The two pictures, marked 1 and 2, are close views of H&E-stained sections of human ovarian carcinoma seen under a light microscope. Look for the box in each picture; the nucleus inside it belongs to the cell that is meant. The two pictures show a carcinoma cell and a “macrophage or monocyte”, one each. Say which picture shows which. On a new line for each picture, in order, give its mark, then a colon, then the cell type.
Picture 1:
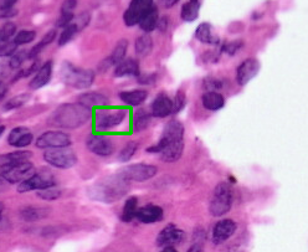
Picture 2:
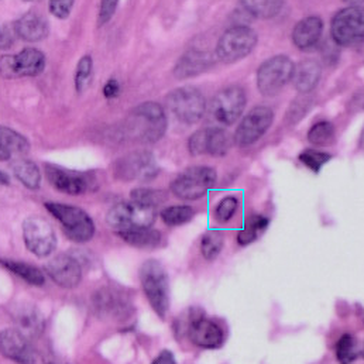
1: carcinoma cell
2: macrophage or monocyte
